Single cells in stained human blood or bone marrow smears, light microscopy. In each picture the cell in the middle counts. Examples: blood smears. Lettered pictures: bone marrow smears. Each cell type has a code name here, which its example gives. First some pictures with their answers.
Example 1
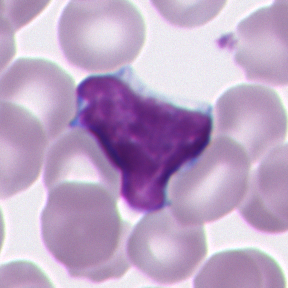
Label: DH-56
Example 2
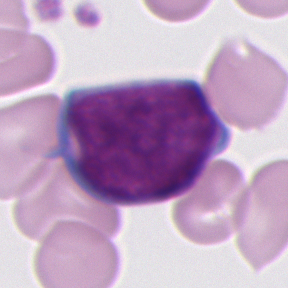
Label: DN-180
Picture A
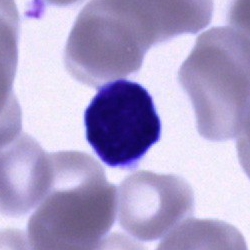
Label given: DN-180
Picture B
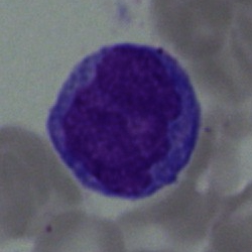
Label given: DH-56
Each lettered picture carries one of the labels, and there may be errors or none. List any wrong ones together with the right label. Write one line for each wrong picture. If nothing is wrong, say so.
A is labelled DN-180; correct label: DH-56
B is labelled DH-56; correct label: DN-180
